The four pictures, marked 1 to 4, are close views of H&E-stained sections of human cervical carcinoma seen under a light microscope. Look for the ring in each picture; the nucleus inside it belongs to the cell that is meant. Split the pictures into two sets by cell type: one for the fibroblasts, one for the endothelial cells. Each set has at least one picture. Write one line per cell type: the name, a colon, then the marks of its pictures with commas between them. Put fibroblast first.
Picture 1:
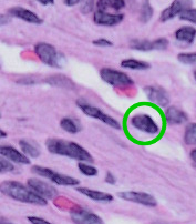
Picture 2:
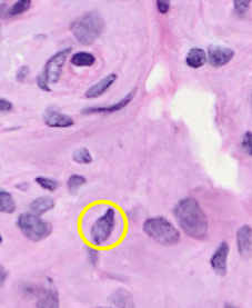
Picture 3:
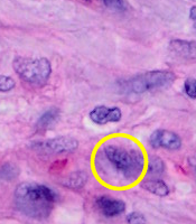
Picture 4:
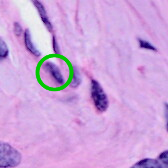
fibroblast: 2
endothelial cell: 1, 3, 4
